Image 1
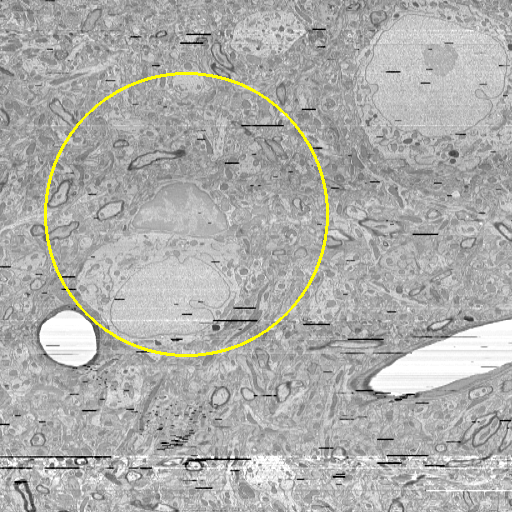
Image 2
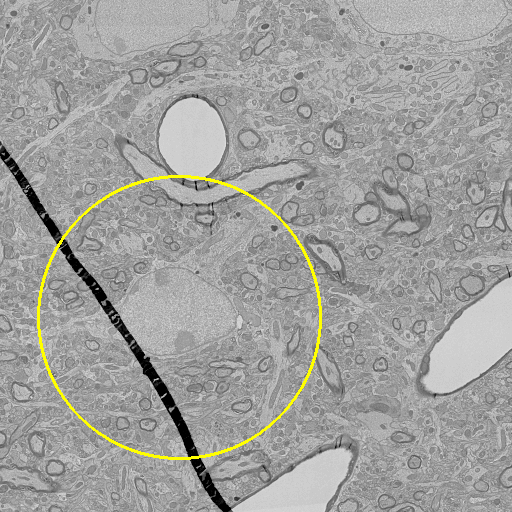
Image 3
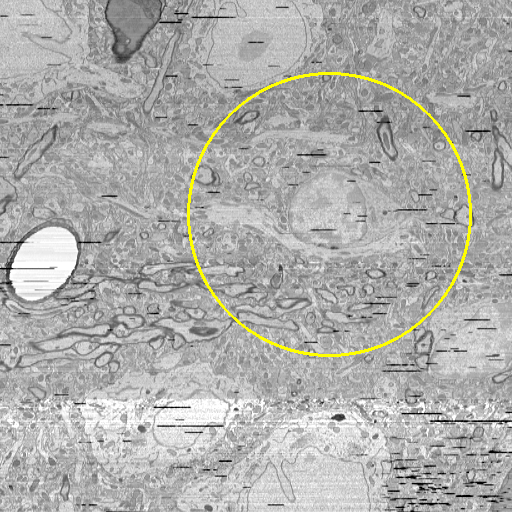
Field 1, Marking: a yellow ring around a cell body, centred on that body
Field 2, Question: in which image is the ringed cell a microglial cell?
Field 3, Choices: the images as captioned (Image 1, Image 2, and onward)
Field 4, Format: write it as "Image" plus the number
Image 1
